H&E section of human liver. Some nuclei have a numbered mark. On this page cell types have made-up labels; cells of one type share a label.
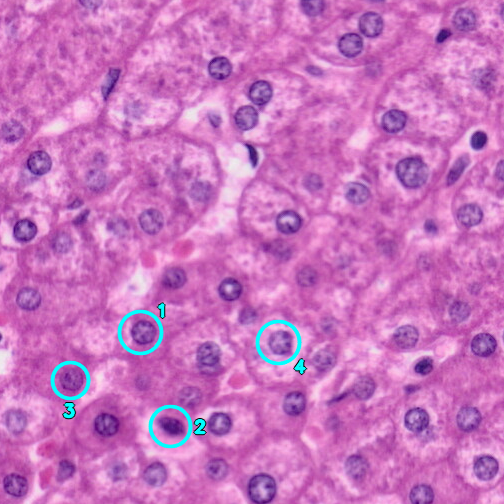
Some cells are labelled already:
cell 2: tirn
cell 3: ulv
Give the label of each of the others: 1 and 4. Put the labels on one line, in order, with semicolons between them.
ulv; ulv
